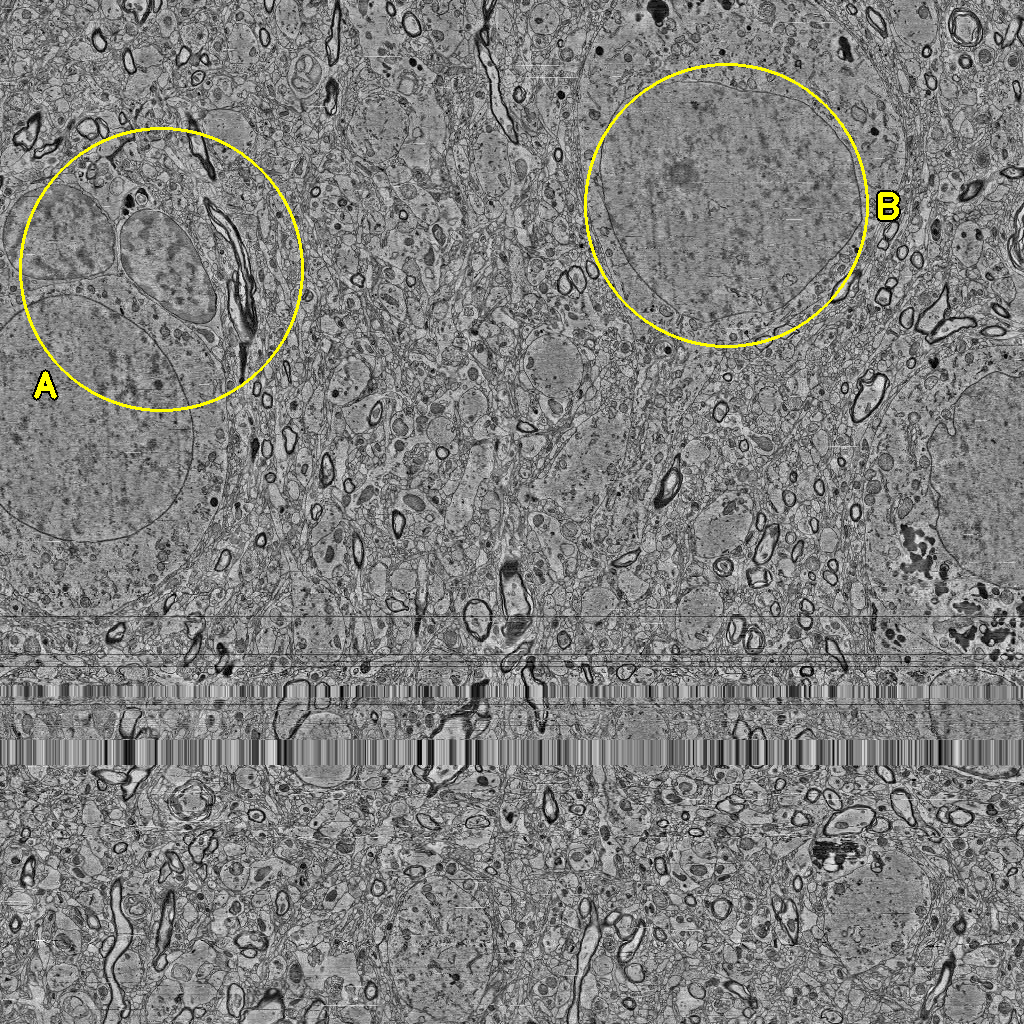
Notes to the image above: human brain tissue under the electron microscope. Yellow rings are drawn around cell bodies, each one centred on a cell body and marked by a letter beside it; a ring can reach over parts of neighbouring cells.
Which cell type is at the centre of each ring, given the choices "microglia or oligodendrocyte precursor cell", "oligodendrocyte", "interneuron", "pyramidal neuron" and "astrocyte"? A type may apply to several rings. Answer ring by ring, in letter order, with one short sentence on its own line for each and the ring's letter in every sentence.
Inside ring A, at its centre, is a microglial cell or oligodendrocyte precursor cell.
Inside ring B, at its centre, is a pyramidal neuron.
